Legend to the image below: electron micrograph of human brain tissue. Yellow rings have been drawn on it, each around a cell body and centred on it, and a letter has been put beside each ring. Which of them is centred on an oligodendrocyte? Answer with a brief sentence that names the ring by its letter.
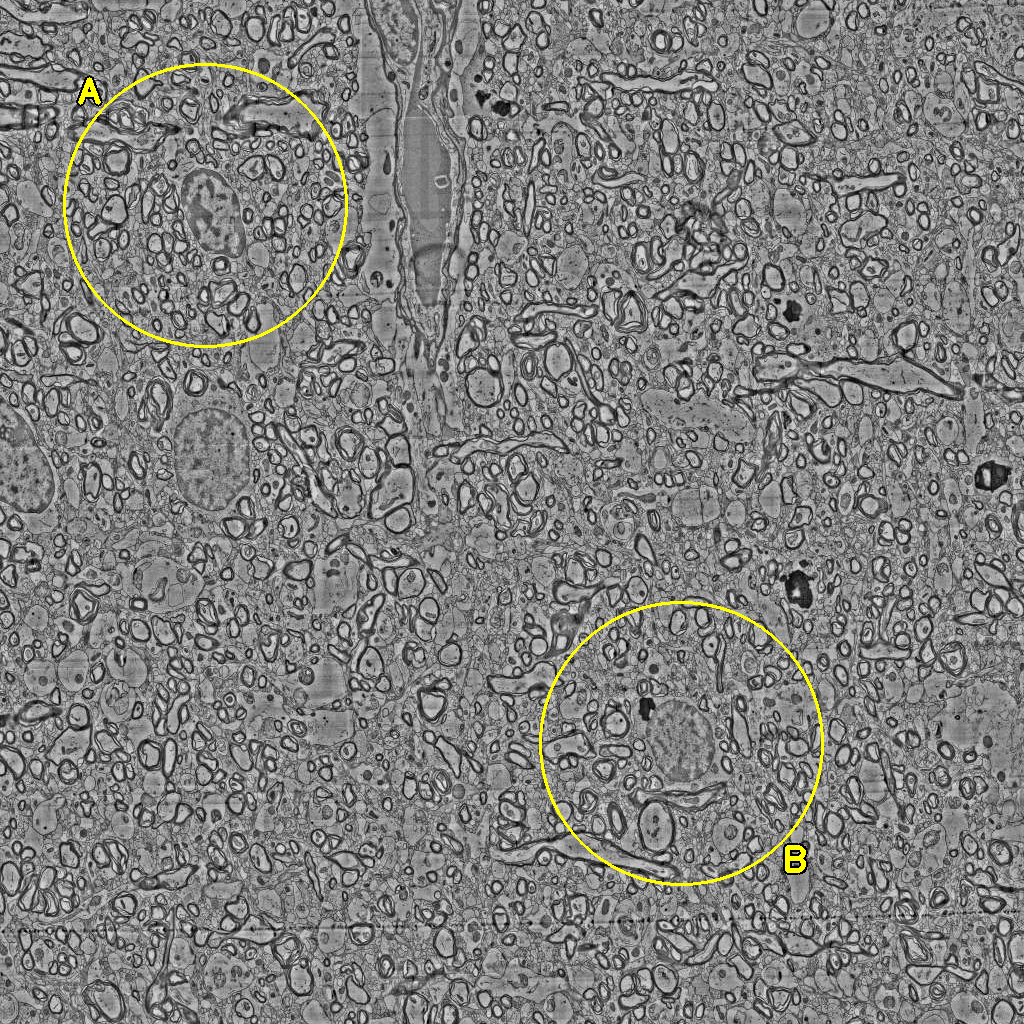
It is the ring lettered B.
